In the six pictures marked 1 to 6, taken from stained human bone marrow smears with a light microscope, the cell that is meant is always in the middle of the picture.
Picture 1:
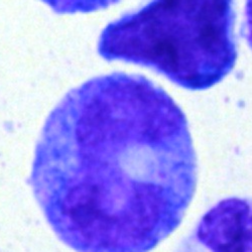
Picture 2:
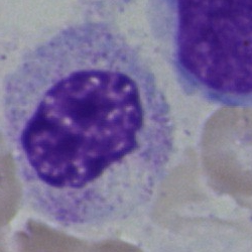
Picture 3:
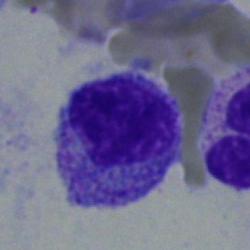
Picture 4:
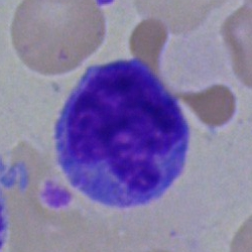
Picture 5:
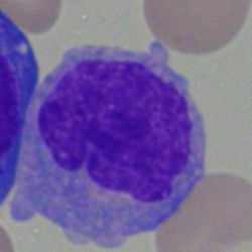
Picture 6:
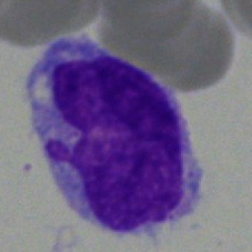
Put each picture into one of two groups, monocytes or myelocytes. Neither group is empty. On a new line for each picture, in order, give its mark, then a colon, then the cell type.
1: monocyte
2: myelocyte
3: myelocyte
4: monocyte
5: monocyte
6: monocyte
